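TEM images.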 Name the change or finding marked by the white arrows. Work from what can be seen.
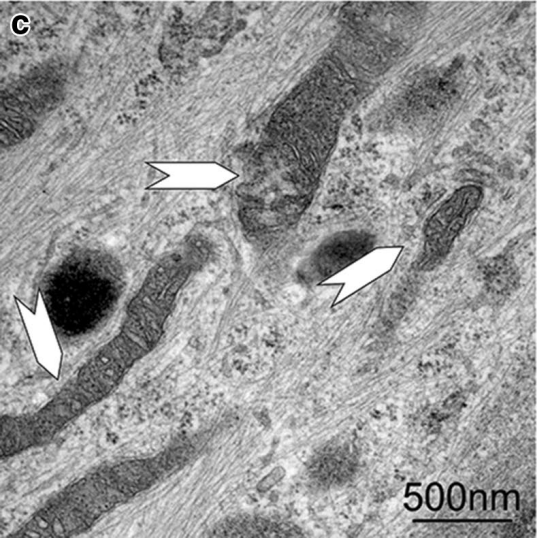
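The arrows point at mitochondria in the cytoplasm. Other mitochondria nearby show orderly cristae.
Answer: mitochondrial destruction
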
